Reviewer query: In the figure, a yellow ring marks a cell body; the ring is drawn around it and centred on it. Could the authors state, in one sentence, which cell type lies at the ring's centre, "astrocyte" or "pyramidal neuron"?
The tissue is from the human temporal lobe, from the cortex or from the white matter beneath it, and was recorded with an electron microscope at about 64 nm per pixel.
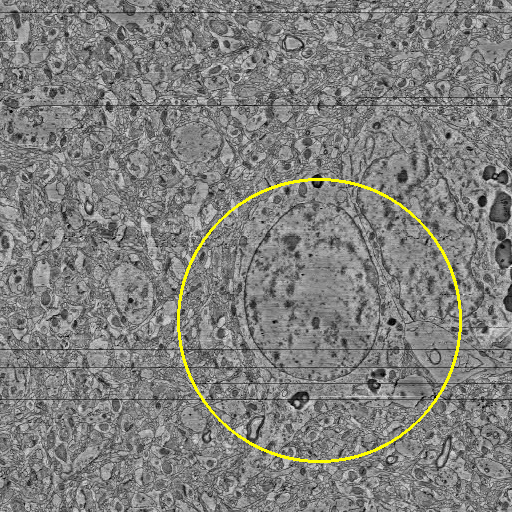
The ring is centred on a pyramidal neuron.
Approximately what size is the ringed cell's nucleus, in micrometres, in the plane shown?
In this plane the nucleus measures roughly 12 by 9 micrometres.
